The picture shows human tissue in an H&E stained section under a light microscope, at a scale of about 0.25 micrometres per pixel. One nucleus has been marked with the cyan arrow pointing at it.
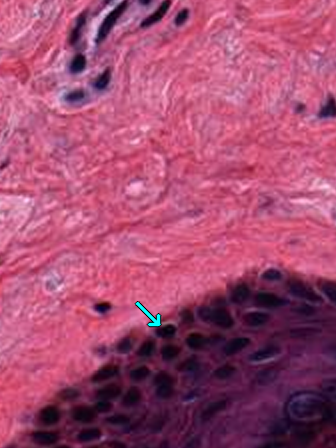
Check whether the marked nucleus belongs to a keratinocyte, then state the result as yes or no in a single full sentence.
Yes, the marked nucleus is identified as that of a keratinocyte.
